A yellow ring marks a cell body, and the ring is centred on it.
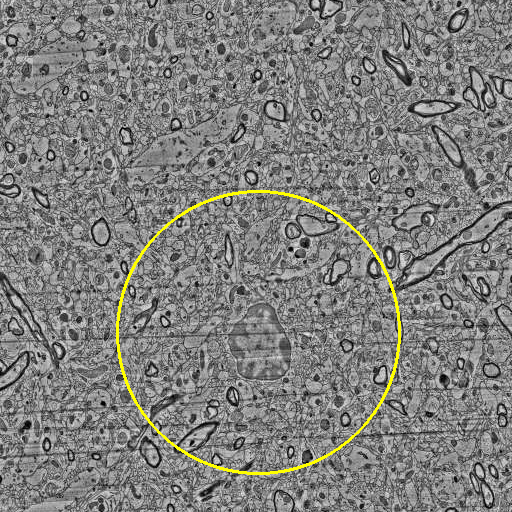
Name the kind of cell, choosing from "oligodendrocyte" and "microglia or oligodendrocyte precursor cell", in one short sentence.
The marked cell body belongs to a microglial cell or oligodendrocyte precursor cell.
